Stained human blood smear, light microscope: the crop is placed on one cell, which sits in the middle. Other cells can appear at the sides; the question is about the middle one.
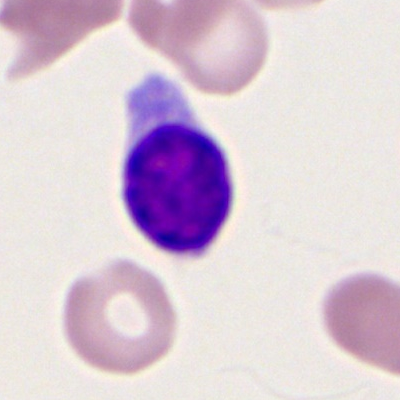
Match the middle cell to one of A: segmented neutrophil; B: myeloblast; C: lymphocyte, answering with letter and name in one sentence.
Located in the middle of the crop is a lymphocyte, and option C is therefore correct.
